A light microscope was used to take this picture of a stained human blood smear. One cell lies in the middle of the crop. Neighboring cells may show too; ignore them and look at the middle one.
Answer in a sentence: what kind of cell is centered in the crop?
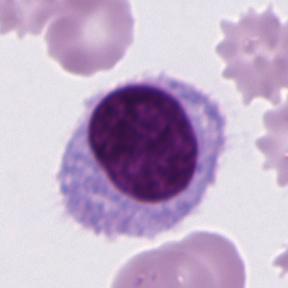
In the crop, the cell of interest at the centre is a hairy cell.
